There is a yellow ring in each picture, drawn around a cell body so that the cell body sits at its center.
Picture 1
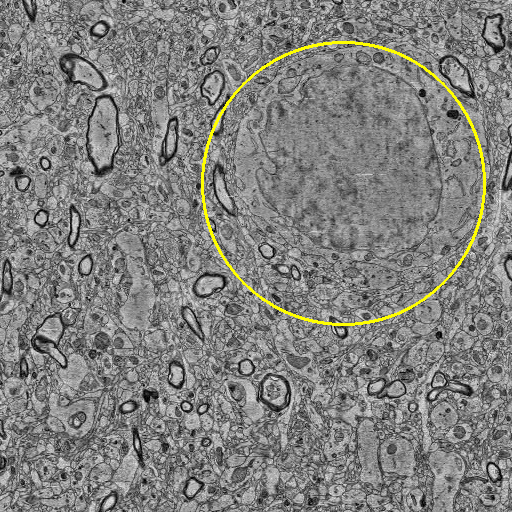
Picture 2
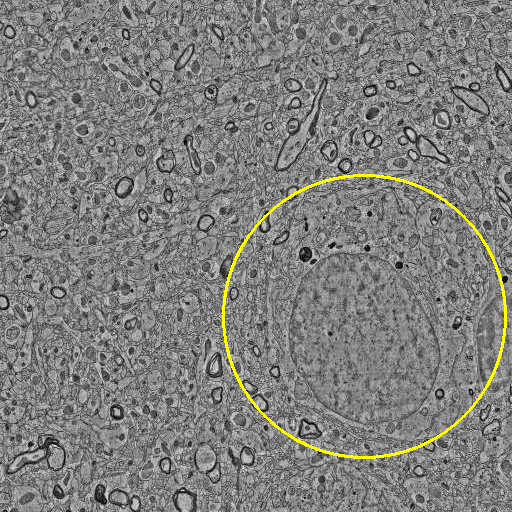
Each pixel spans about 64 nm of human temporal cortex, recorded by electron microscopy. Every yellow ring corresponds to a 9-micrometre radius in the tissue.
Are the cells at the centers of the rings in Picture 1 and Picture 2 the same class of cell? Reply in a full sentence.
Yes, the two cells are the same class of cell.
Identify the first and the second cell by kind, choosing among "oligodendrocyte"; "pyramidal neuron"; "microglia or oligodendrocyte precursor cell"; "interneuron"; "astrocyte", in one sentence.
The second cell is an interneuron, just as the first is.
